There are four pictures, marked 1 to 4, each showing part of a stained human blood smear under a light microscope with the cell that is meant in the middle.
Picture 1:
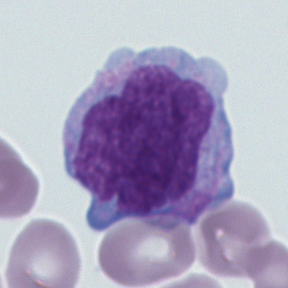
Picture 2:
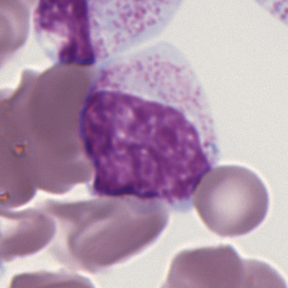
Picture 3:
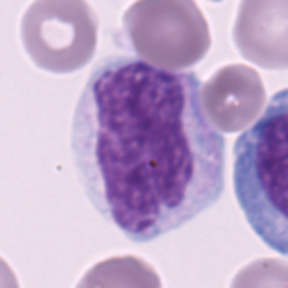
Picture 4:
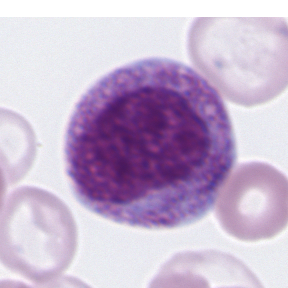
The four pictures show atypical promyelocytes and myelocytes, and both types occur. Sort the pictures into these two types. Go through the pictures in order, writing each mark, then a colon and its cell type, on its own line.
1: atypical promyelocyte
2: myelocyte
3: myelocyte
4: myelocyte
